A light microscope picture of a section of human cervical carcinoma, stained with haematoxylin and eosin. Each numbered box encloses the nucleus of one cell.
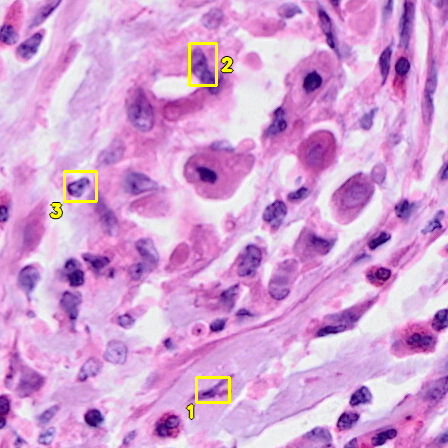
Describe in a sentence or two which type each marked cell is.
Cell 1 is a fibroblast. Cell 2 is a macrophage or monocyte. Cell 3 is a lymphocyte.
